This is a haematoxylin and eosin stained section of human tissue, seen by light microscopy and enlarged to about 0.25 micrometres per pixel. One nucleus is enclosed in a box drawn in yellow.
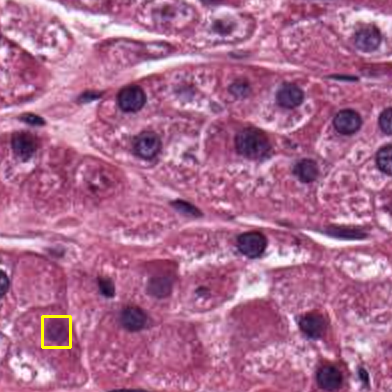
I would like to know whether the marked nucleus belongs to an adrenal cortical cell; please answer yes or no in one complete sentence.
Yes, the marked nucleus is one belonging to an adrenal cortical cell.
